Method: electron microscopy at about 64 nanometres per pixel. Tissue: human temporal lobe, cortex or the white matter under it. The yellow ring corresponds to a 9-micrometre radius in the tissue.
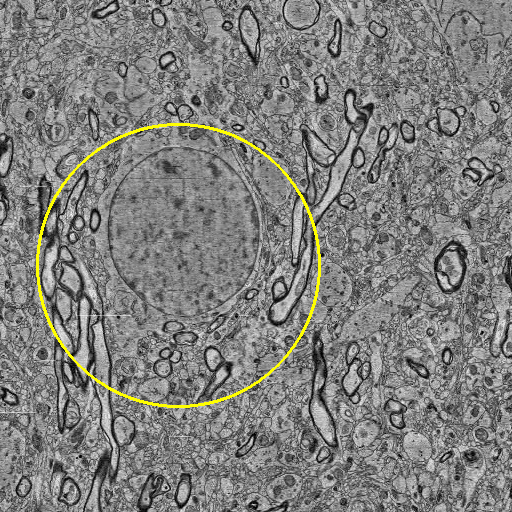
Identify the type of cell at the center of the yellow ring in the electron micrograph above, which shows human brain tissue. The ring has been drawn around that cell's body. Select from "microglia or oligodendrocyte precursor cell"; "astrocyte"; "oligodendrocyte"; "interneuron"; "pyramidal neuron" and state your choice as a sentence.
The yellow ring is centered on the body of an astrocyte.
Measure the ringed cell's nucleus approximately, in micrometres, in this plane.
The nucleus measures about 11 by 10 micrometres in this plane.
